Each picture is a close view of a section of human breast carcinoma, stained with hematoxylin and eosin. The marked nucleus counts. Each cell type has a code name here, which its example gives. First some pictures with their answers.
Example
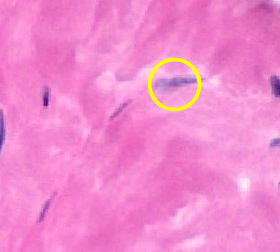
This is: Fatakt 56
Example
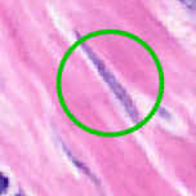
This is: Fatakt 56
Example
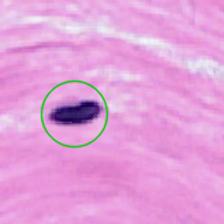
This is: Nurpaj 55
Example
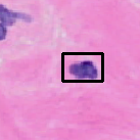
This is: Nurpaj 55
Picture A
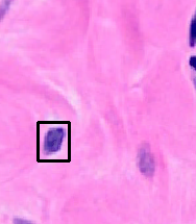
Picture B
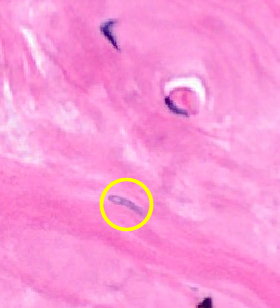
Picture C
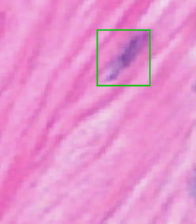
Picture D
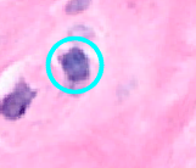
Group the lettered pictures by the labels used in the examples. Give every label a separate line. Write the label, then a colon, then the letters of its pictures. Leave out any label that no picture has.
Fatakt 56: B, C
Nurpaj 55: A, D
